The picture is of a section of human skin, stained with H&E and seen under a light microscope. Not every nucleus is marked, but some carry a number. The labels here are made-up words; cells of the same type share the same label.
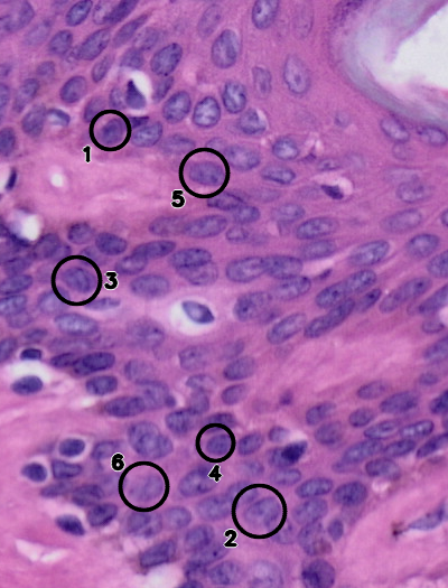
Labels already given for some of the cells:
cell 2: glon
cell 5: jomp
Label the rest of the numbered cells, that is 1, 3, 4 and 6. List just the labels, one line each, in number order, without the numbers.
jomp
jomp
jomp
glon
